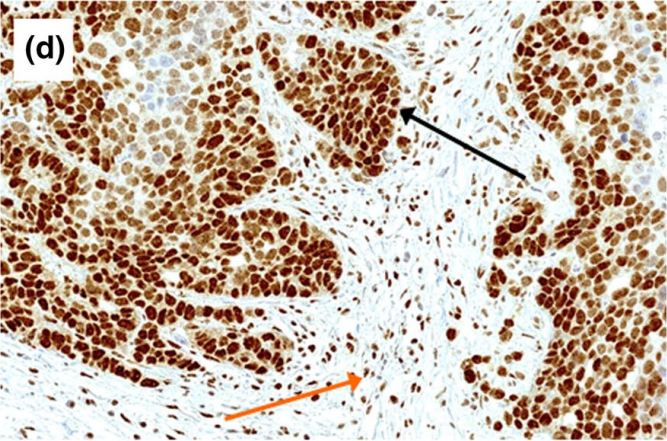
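Tumor tissue in nests and trabeculae of crowded cells with large oval nuclei, almost all of which are stained dark brown, with little cytoplasm. The nests are separated by bands of pale fibrous stroma holding scattered small spindle and round cells, many of whose nuclei are also brown.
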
